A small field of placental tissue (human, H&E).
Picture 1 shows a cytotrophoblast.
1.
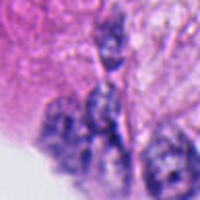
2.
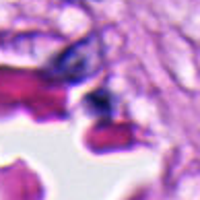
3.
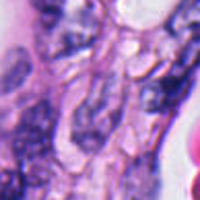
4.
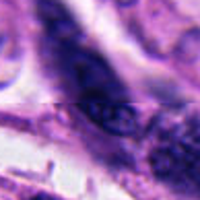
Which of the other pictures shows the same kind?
Picture 3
